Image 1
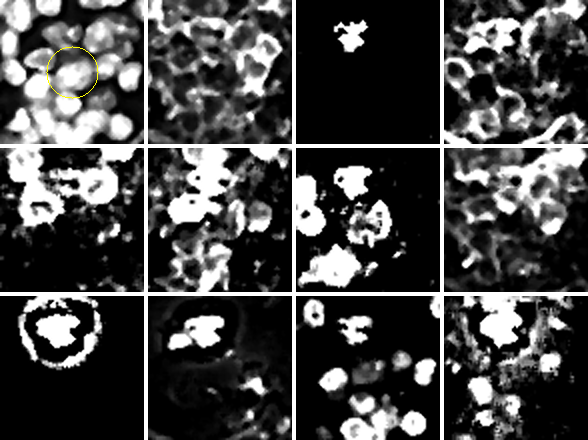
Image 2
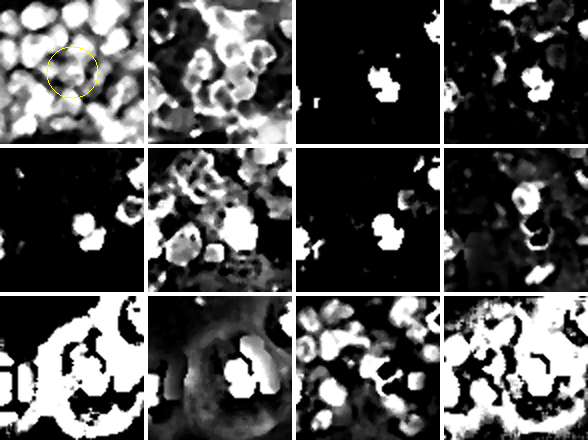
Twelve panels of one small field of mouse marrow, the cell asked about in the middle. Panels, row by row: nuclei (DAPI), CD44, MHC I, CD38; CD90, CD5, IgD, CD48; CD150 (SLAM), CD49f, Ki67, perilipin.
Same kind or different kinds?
Same: B cells.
